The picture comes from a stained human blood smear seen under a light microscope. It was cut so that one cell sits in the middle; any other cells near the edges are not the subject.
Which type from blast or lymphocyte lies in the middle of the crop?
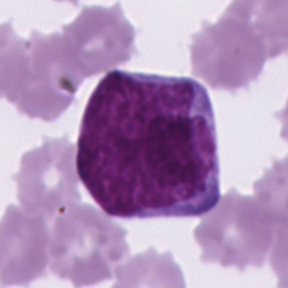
blast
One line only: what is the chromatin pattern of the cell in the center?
There is no coarse clumping; the chromatin stays fine throughout.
